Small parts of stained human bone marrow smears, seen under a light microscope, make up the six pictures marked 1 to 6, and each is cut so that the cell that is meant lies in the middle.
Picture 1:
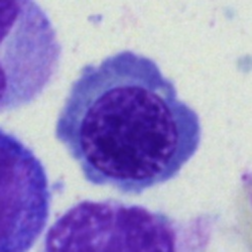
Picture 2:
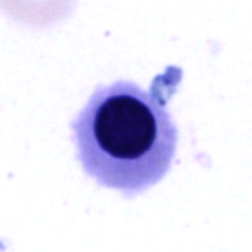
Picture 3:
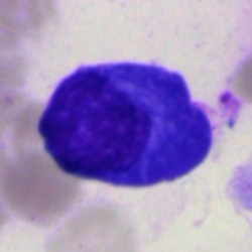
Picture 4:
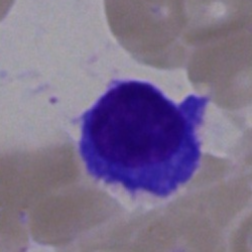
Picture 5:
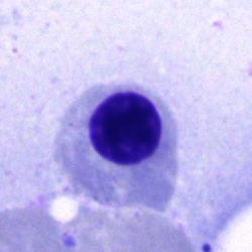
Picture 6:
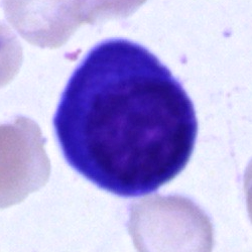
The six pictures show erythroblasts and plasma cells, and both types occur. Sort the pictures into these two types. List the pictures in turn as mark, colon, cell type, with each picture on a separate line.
1: erythroblast
2: erythroblast
3: plasma cell
4: plasma cell
5: erythroblast
6: plasma cell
